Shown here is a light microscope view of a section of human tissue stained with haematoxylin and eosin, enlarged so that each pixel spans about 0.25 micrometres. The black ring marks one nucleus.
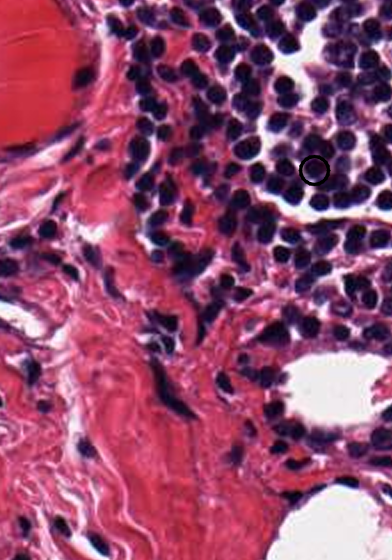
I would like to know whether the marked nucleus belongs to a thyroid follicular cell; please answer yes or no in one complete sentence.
No, a supporting cell is the one to which the marked nucleus belongs, not a thyroid follicular cell.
